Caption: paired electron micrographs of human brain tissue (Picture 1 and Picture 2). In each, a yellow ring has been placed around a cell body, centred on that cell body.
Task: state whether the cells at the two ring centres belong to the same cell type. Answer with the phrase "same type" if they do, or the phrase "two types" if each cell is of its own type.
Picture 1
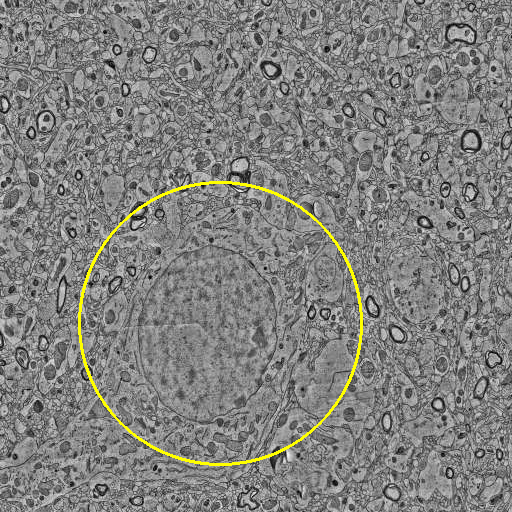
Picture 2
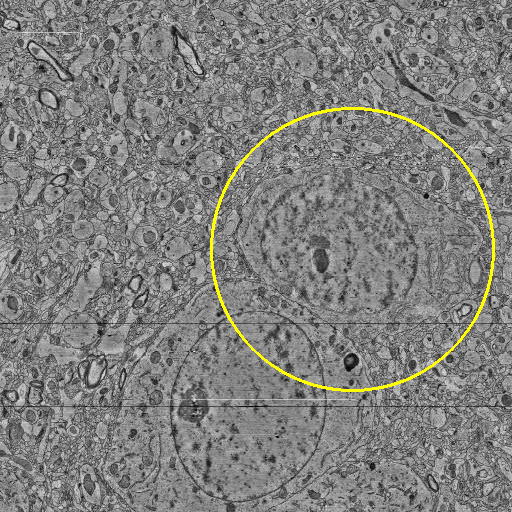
same type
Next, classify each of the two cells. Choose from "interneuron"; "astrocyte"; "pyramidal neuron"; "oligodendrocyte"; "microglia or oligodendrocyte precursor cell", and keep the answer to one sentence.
Both cells are the same kind, each one being an interneuron.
